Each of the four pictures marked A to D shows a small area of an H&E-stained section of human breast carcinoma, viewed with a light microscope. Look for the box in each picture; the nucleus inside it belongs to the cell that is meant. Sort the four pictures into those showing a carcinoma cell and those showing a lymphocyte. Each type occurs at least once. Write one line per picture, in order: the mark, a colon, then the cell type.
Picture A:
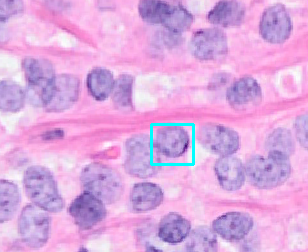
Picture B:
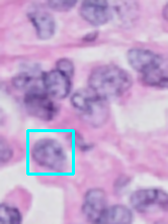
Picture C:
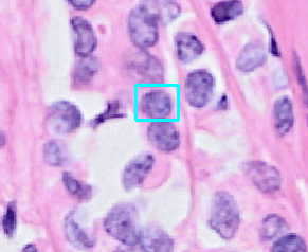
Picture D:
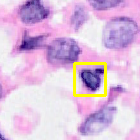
A: carcinoma cell
B: carcinoma cell
C: carcinoma cell
D: lymphocyte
